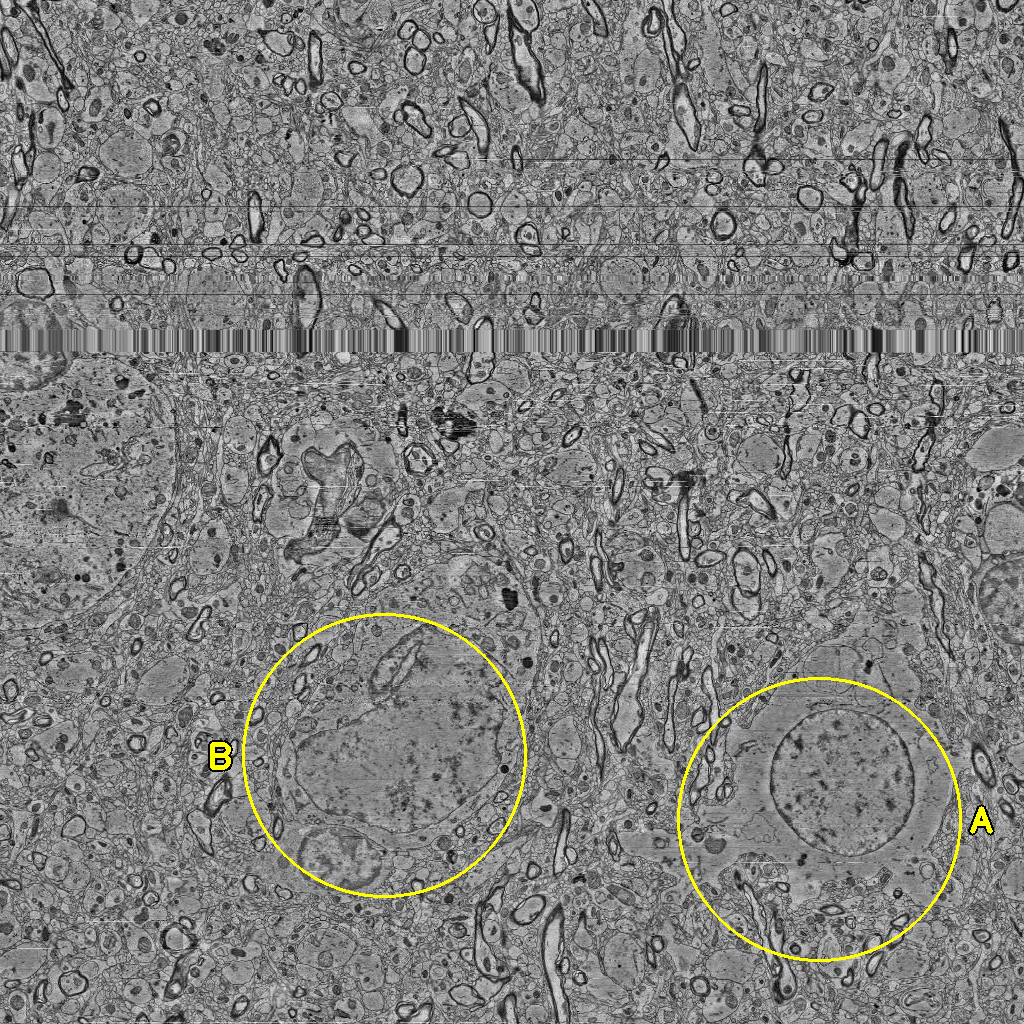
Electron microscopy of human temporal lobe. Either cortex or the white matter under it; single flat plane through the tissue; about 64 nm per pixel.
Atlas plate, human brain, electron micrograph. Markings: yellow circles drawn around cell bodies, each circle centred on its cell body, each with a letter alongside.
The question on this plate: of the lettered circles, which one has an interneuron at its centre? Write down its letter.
B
